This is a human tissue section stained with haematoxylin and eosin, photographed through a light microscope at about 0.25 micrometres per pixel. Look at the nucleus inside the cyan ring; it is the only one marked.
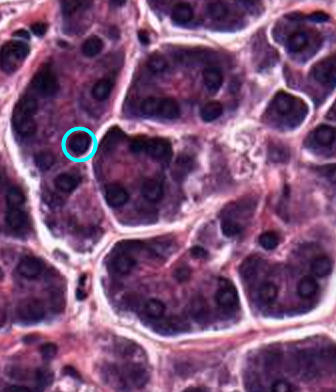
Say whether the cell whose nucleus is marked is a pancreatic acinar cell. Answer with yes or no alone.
yes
